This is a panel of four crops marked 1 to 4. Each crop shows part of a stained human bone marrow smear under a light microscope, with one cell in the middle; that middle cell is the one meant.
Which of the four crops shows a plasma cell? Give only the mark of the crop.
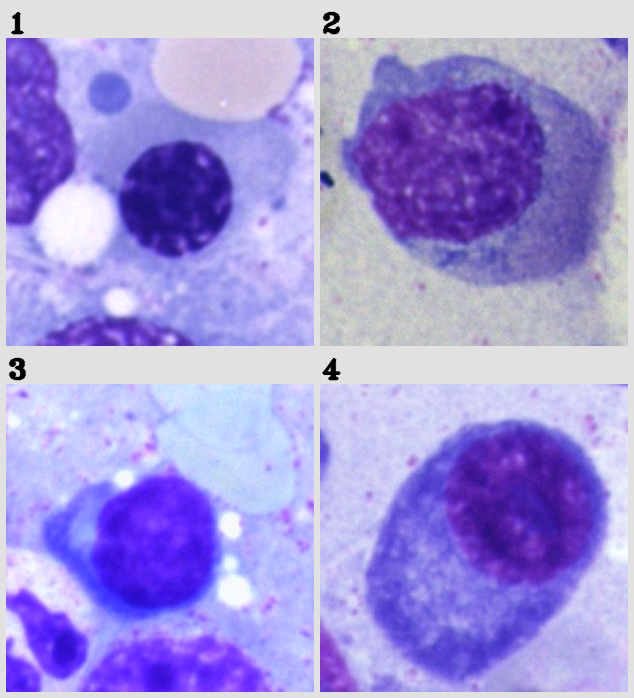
4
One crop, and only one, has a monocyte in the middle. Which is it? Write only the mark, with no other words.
2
